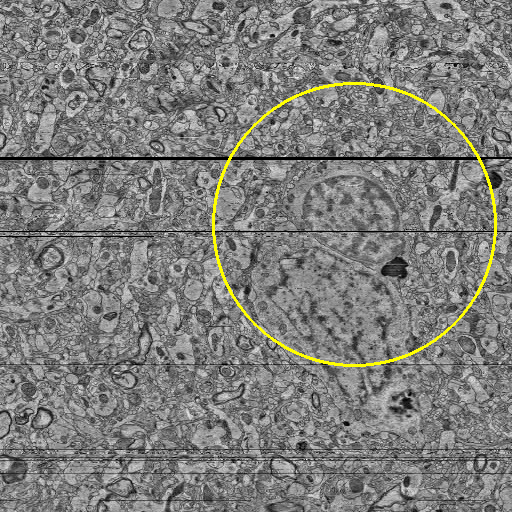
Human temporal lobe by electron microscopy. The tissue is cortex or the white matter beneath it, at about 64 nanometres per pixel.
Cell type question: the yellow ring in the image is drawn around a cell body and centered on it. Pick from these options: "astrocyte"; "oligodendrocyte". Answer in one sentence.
The ringed cell at the center is an oligodendrocyte.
